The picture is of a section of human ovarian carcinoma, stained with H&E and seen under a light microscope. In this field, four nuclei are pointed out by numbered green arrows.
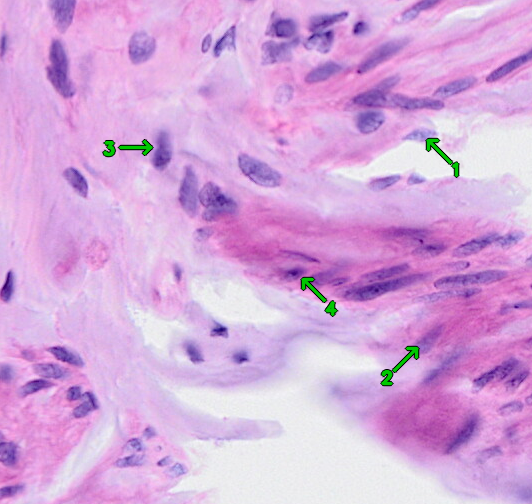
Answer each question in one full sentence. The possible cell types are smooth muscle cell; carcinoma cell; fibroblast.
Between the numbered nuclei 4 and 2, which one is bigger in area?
The larger nucleus is 2, at roughly 2.5 times the area of 4.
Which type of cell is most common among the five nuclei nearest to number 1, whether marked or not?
Most of the five nuclei nearest to number 1 are those of smooth muscle cells.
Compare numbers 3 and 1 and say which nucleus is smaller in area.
Nucleus 1 is the smaller one; nucleus 3 covers about 2 times its area.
